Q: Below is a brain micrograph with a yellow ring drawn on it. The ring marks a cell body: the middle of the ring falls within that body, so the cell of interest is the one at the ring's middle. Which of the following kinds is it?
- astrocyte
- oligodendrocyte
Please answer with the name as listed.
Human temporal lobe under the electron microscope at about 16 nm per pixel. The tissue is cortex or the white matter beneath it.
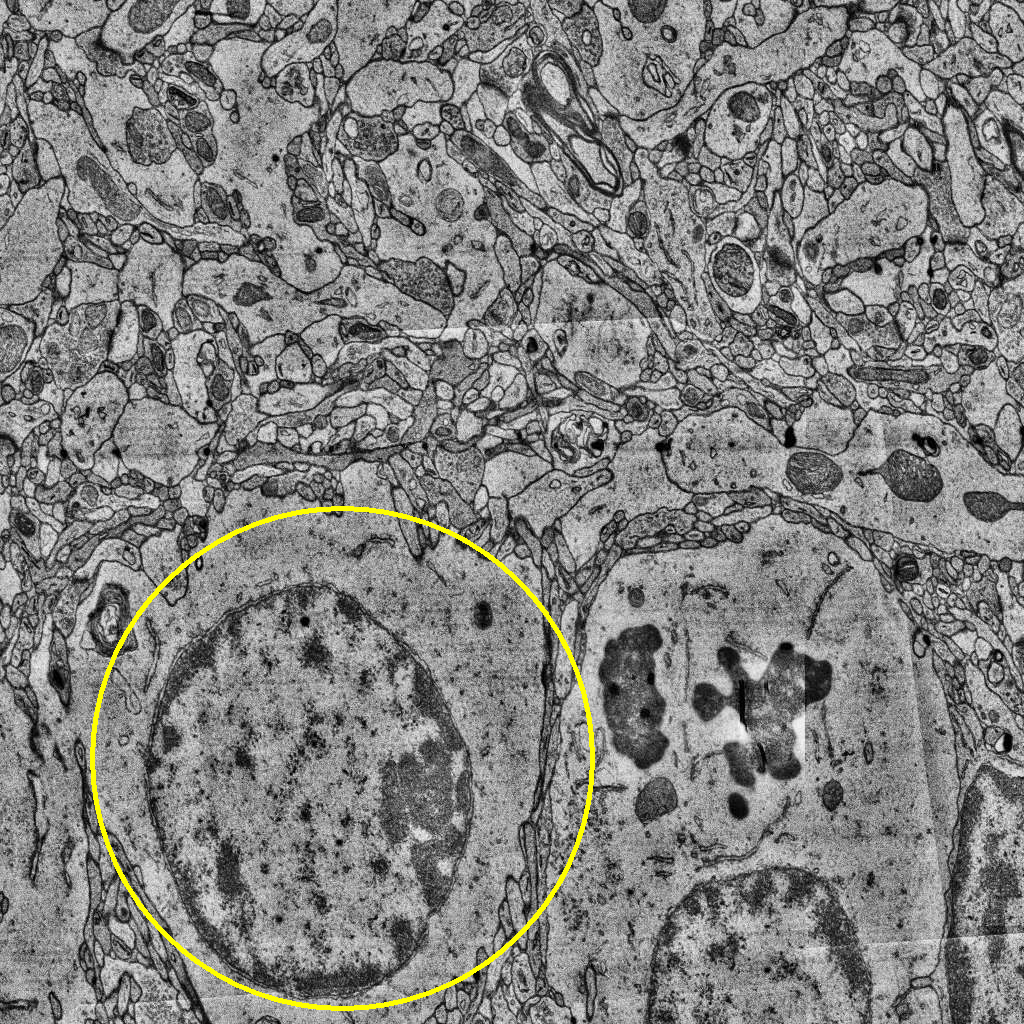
astrocyte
